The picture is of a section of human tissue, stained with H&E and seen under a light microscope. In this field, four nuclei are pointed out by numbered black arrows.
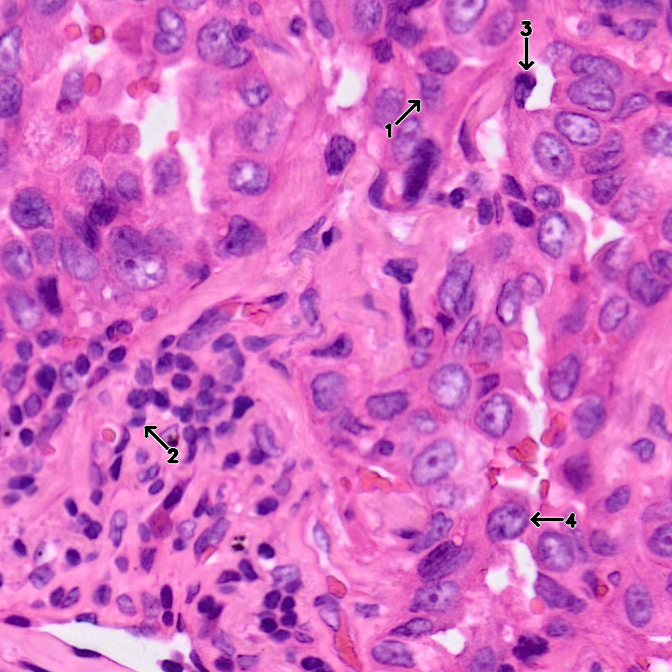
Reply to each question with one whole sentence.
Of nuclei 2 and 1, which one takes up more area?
At about 3 times the area of nucleus 2, nucleus 1 is the larger of the two.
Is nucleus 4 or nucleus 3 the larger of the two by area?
The larger nucleus is 4, at roughly 2.5 times the area of 3.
